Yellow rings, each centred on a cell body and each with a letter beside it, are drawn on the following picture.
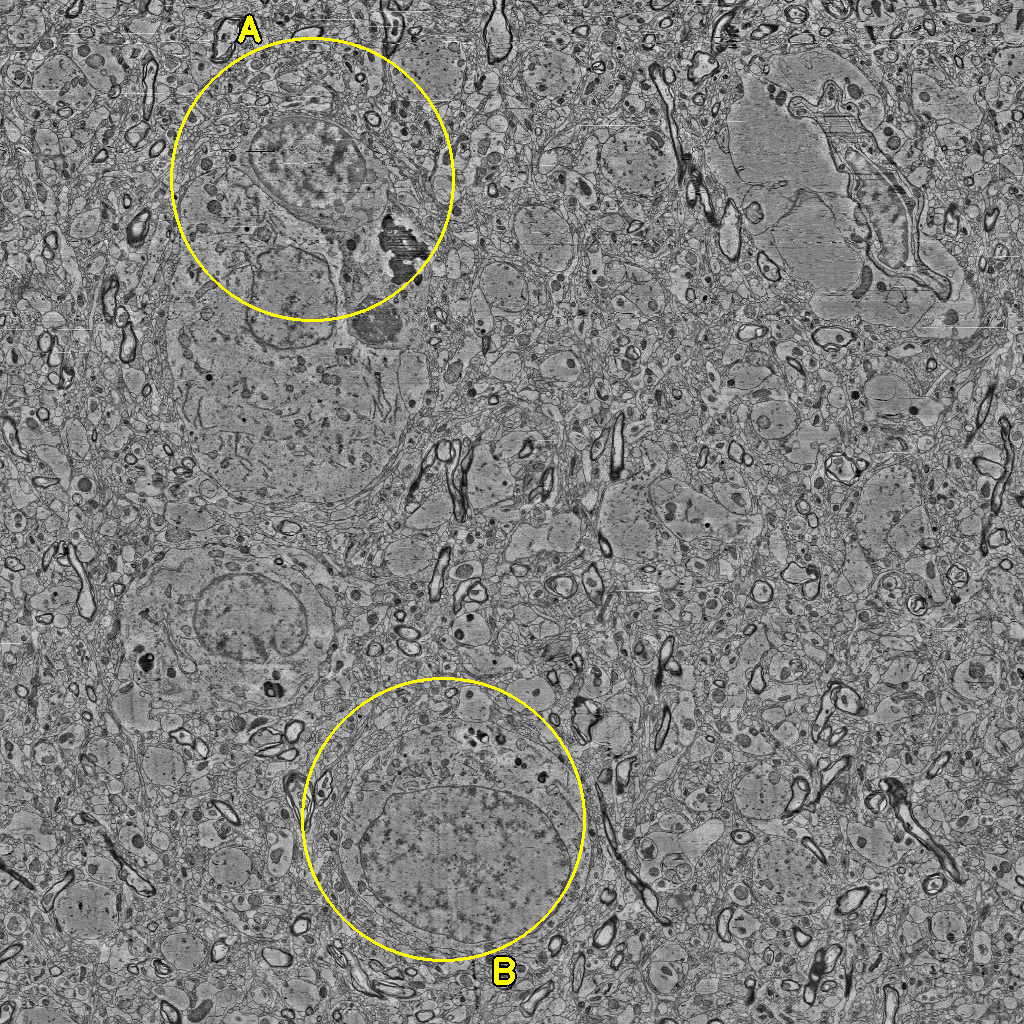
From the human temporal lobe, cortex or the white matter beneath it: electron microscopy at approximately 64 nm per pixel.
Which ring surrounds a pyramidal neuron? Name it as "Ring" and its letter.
Ring B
